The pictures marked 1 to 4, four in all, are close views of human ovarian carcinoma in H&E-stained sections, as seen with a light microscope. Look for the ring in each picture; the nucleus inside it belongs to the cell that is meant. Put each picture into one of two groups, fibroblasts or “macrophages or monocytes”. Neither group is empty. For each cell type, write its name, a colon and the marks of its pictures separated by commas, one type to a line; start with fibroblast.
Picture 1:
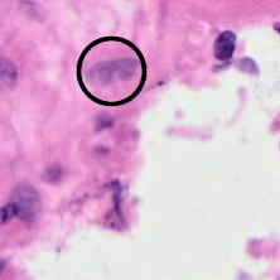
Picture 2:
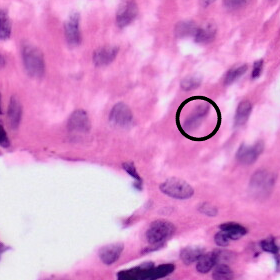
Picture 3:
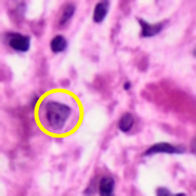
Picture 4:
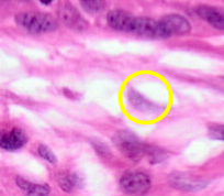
fibroblast: 1, 2, 4
macrophage or monocyte: 3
